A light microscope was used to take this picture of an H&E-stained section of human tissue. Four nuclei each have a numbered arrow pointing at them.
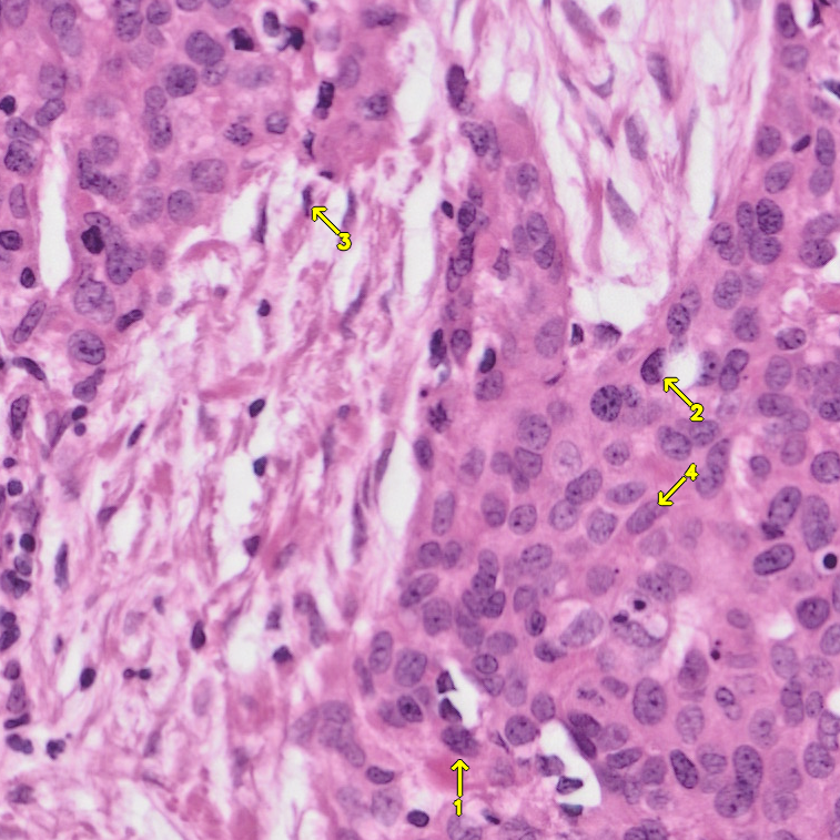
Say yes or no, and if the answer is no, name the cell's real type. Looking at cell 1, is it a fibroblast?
No, it is a carcinoma cell.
